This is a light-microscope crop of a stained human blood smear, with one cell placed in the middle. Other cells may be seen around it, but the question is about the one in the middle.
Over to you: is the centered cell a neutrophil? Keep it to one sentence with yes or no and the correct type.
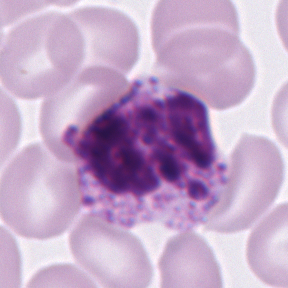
No, the cell in the middle is recognised as a basophil rather than a neutrophil.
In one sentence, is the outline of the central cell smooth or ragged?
The boundary of the cell runs irregularly, ragged in parts or drawn into projections.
